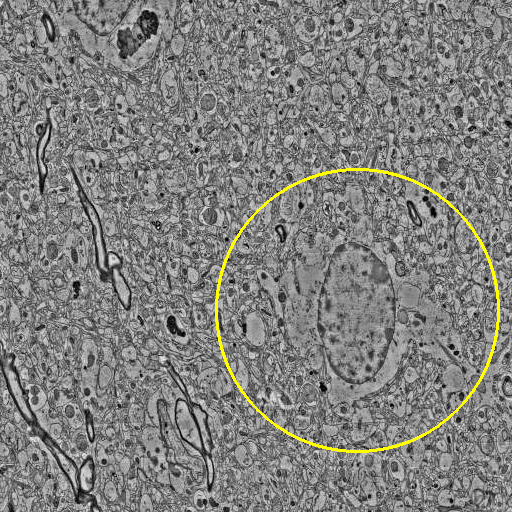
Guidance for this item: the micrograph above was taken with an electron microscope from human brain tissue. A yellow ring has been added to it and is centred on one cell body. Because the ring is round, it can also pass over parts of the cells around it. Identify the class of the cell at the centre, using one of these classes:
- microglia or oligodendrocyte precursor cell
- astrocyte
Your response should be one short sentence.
The ring surrounds the body of an astrocyte.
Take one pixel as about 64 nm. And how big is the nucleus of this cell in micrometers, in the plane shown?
At approximately 9 by 5 micrometres, the nucleus is clearly longer than it is wide in this plane.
